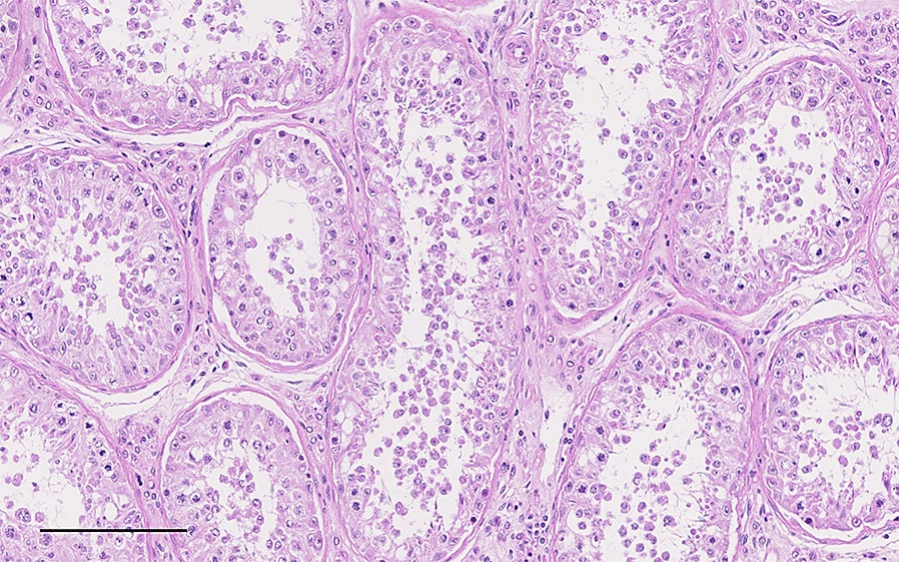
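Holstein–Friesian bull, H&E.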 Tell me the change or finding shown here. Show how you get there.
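Many loose round cells lie free in the tubule lumens. The elongated central tubule is filled with detached, scattered round cells.
Hence: exfoliated germ cells.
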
